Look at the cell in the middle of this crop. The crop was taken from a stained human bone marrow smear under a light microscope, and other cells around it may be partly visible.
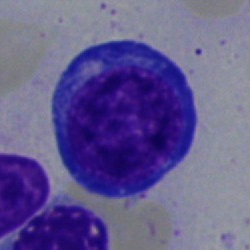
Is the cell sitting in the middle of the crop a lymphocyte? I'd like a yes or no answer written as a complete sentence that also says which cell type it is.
No, the cell at the centre is an erythroblast, which rules out a lymphocyte.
